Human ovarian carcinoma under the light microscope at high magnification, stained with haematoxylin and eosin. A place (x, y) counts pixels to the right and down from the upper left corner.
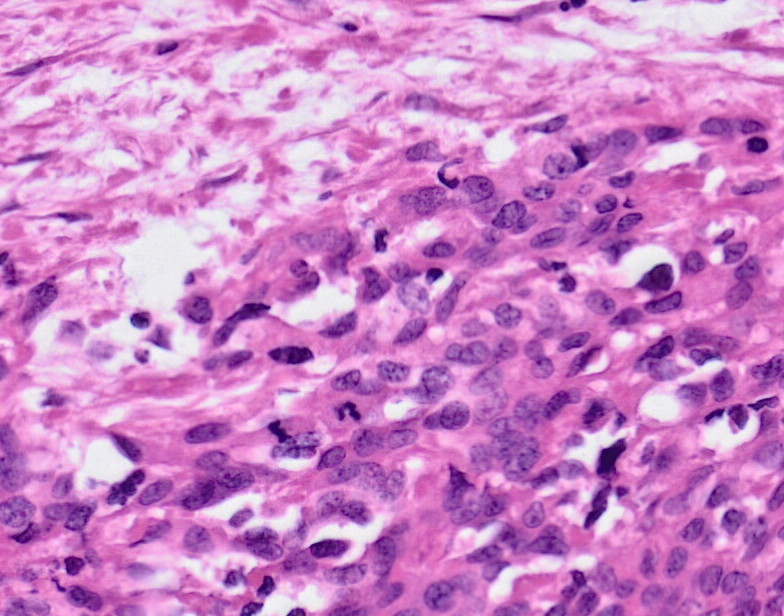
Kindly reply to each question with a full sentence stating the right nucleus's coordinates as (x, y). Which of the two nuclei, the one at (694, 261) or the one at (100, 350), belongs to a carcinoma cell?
Of the pair, the nucleus positioned at (694, 261) is that of a carcinoma cell.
